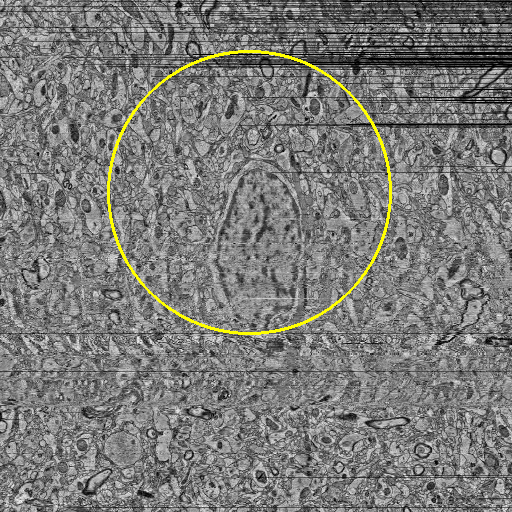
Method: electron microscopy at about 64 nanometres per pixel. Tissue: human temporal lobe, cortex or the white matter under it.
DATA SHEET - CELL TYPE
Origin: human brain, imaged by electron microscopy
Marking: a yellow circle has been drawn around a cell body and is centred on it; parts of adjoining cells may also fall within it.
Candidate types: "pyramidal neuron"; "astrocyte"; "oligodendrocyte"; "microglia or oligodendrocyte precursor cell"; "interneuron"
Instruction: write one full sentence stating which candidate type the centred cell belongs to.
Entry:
The cell body at the centre of the yellow ring in this micrograph belongs to a microglial cell or oligodendrocyte precursor cell.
